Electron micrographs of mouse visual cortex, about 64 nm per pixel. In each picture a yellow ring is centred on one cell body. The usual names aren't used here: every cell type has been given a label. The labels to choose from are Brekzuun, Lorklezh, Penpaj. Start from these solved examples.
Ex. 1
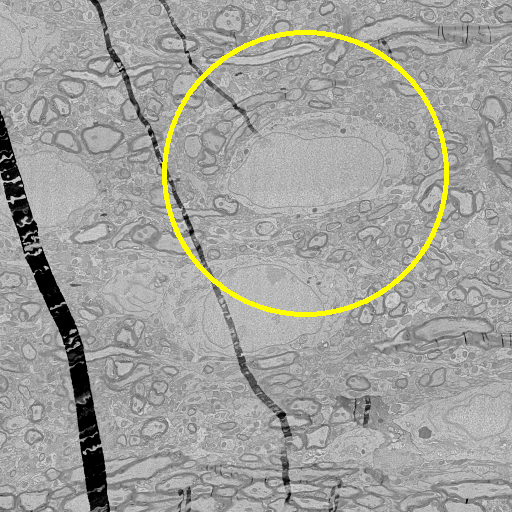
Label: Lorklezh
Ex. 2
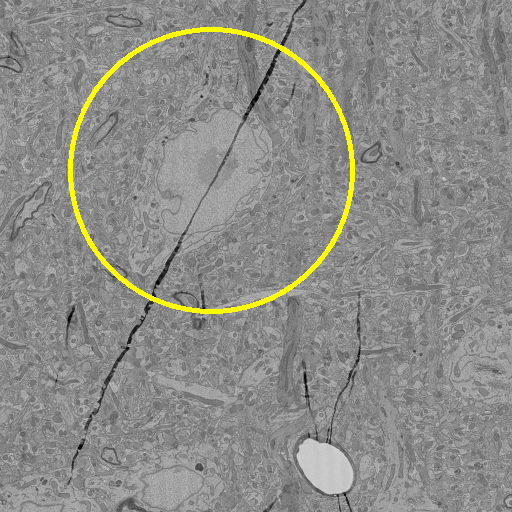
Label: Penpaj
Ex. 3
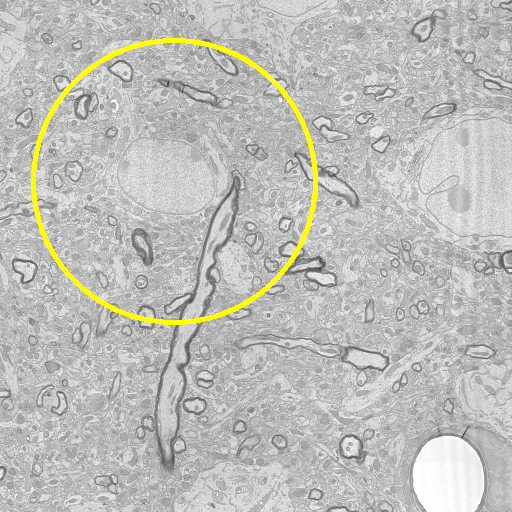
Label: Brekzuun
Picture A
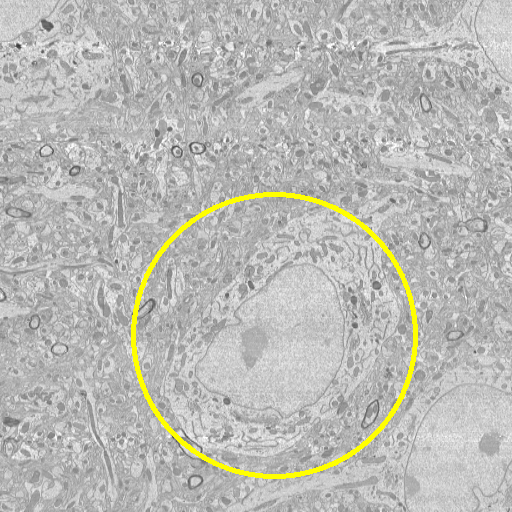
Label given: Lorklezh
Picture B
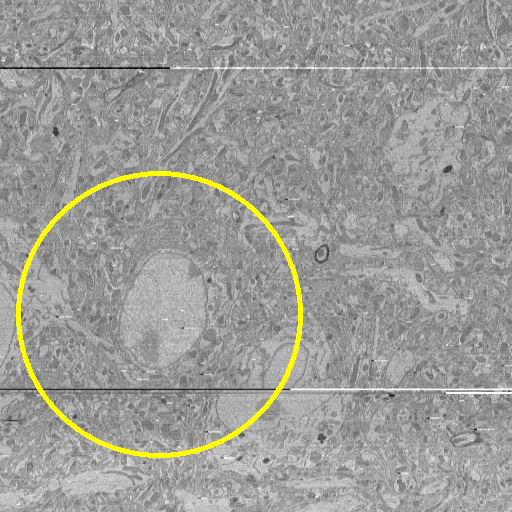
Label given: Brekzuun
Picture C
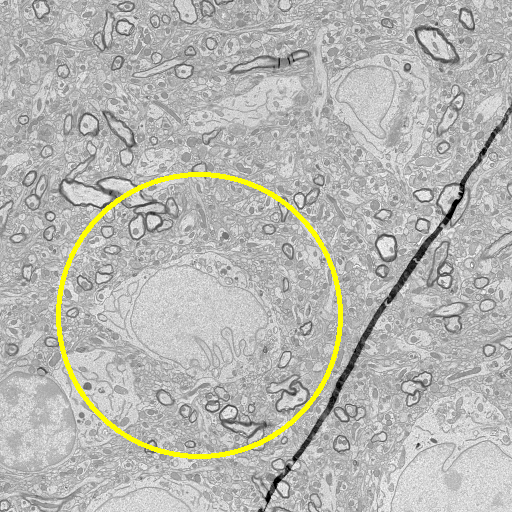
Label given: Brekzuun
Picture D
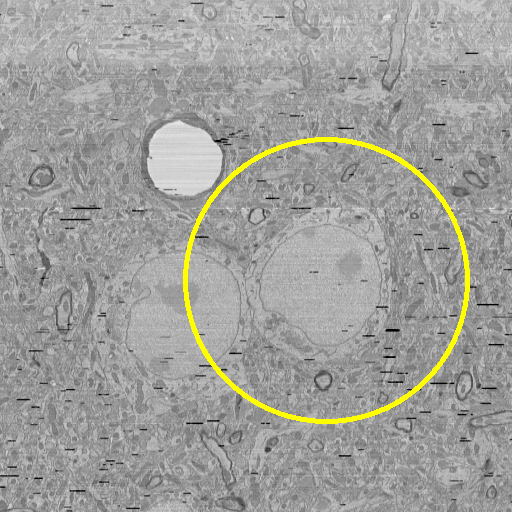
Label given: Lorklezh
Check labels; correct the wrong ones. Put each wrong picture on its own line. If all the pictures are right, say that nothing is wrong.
A: not Lorklezh but Penpaj
C: not Brekzuun but Penpaj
